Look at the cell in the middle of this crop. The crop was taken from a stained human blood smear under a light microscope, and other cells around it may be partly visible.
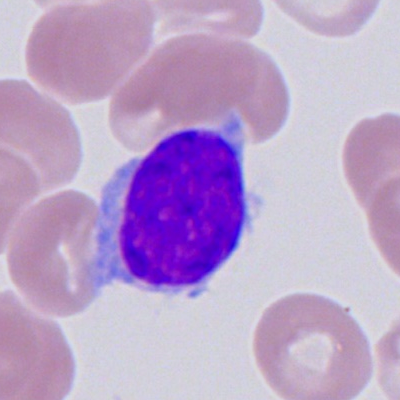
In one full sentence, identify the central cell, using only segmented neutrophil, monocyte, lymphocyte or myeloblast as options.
The cell under consideration, at the middle of the crop, is a lymphocyte.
